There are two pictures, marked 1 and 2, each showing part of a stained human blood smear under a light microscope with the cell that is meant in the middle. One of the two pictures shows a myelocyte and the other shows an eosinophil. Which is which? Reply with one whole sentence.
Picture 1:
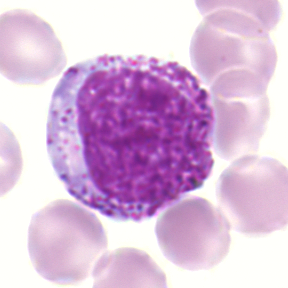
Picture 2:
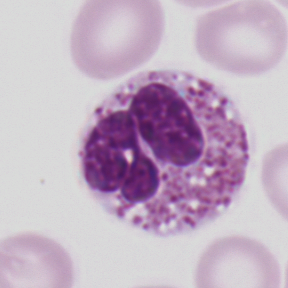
It is picture 1 that shows a myelocyte, and picture 2 that shows an eosinophil.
